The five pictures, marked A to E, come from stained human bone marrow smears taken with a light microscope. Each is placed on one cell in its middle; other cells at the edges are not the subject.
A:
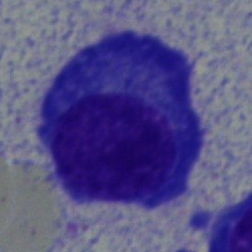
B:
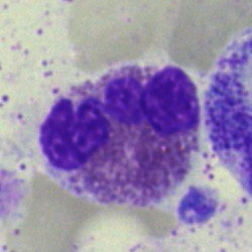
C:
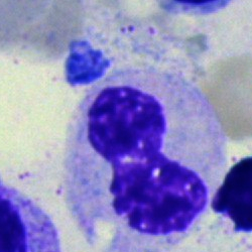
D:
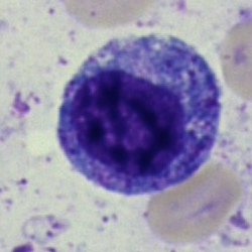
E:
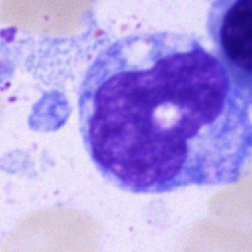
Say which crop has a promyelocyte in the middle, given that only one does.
D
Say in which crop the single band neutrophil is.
C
